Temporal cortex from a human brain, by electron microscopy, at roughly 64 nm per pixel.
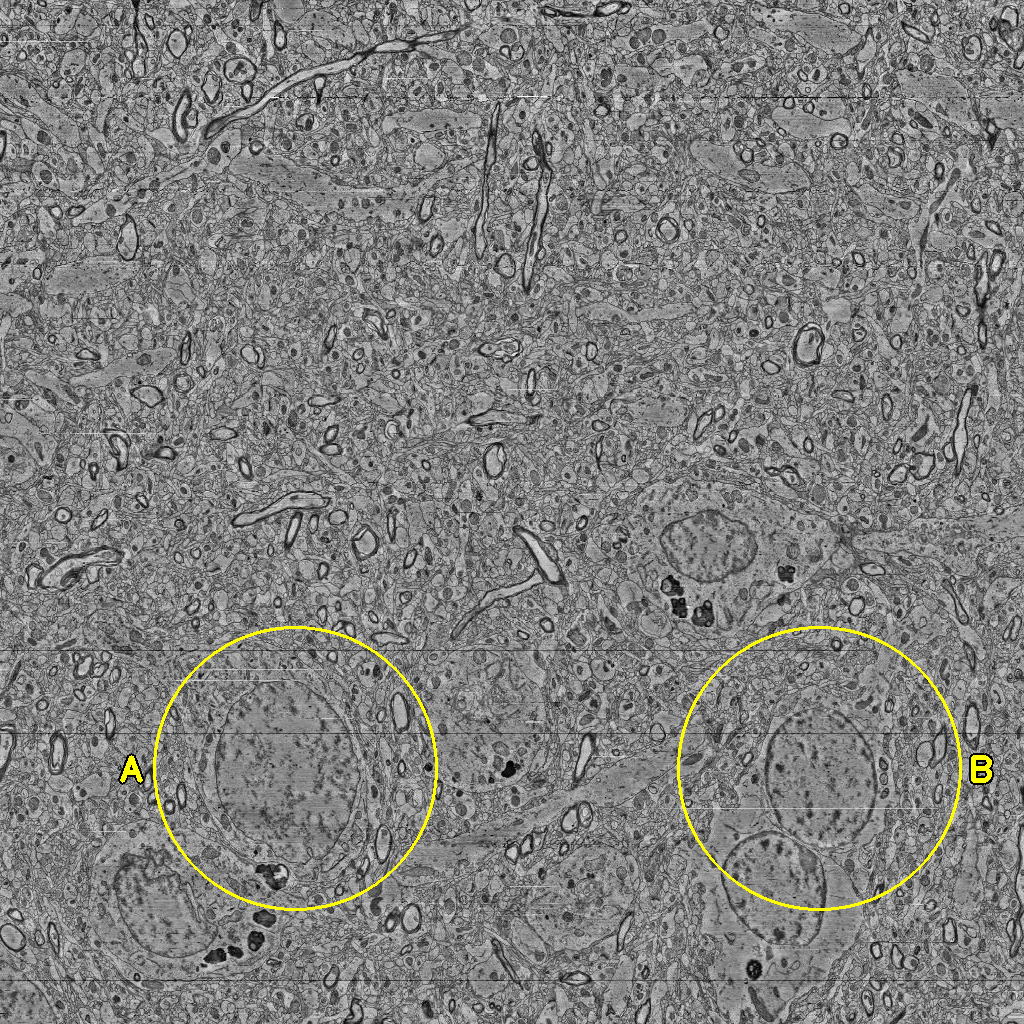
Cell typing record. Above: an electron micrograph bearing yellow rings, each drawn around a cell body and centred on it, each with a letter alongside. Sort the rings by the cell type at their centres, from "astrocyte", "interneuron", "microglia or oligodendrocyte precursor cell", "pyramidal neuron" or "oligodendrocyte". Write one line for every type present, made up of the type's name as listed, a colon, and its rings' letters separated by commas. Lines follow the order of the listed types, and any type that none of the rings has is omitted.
astrocyte: B
pyramidal neuron: A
